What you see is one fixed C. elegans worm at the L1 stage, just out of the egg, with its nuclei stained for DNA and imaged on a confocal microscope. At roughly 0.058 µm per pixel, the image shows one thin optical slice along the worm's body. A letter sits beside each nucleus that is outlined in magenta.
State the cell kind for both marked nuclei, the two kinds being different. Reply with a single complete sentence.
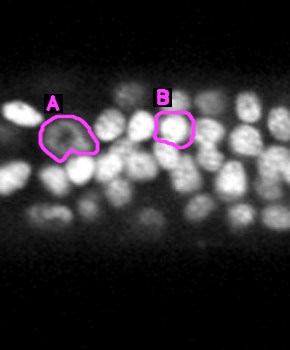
A is from a seam cell, and B is from a neuron.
